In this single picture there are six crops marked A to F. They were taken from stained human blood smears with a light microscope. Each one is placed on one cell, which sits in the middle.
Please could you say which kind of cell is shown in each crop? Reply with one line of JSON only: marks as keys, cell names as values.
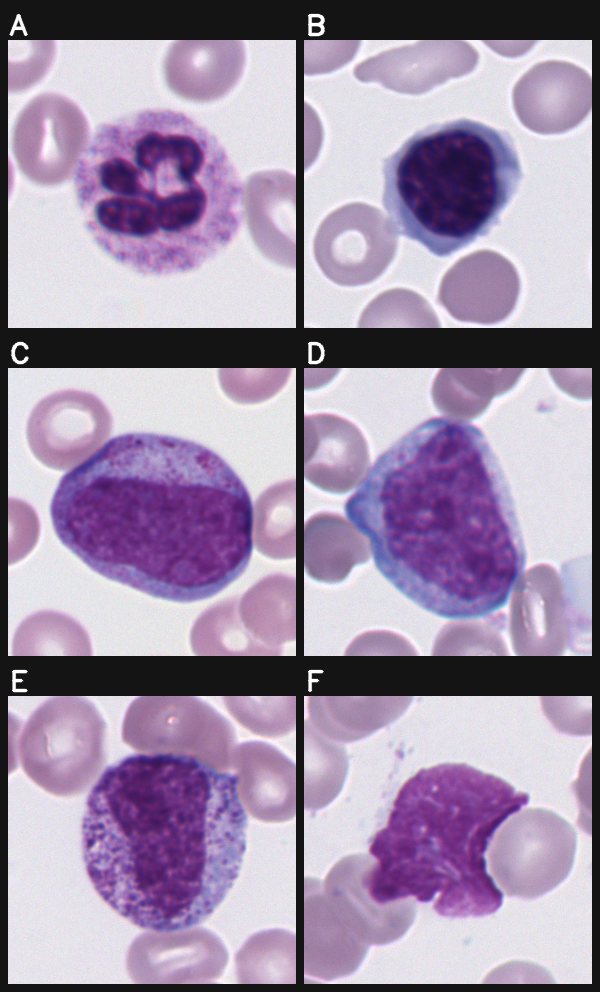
{"A": "segmented neutrophil", "B": "normoblast", "C": "atypical promyelocyte", "D": "promyelocyte", "E": "myelocyte", "F": "smudge cell"}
